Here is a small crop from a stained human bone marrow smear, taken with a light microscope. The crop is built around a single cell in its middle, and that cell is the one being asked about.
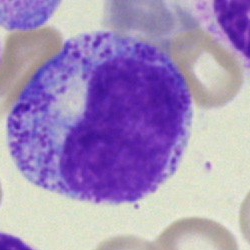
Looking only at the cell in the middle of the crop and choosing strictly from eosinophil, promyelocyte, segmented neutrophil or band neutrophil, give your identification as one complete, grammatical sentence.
In the crop, the cell of interest at the centre is a promyelocyte.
